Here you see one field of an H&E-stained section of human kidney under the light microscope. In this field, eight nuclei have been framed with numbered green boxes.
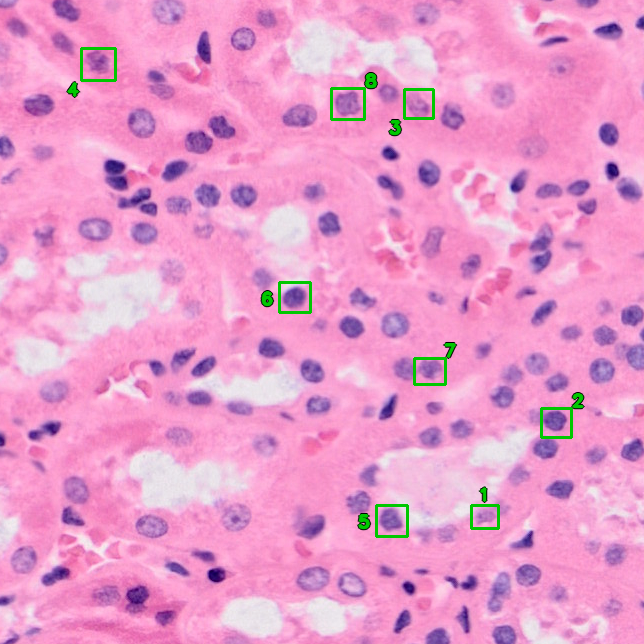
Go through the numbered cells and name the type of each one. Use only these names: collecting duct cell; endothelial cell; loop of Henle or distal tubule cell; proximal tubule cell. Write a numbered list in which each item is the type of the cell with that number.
1. loop of Henle or distal tubule cell
2. loop of Henle or distal tubule cell
3. proximal tubule cell
4. proximal tubule cell
5. loop of Henle or distal tubule cell
6. loop of Henle or distal tubule cell
7. loop of Henle or distal tubule cell
8. proximal tubule cell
